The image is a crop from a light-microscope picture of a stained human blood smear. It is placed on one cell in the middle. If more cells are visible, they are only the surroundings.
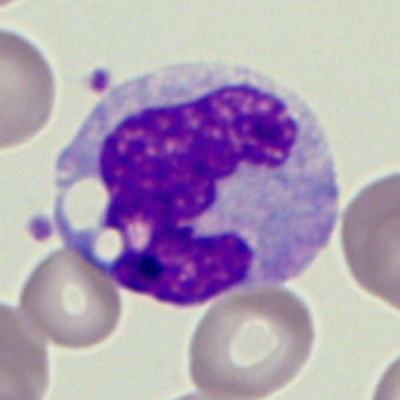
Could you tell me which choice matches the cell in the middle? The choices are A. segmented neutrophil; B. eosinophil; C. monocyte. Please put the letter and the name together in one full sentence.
The middle of the crop holds a monocyte, which points to option C.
